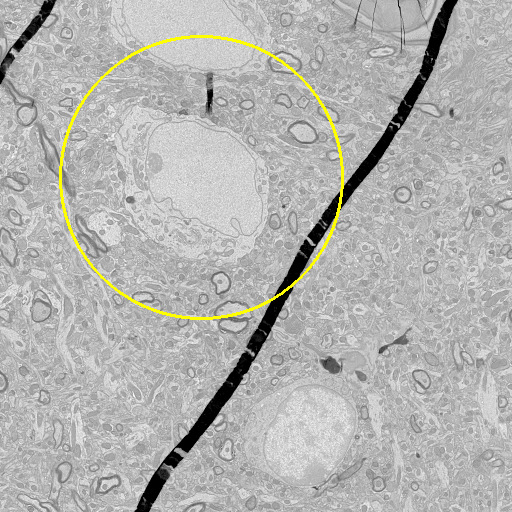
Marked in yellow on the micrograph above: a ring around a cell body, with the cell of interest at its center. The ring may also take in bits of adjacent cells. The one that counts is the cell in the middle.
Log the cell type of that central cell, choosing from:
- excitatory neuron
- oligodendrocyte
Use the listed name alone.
excitatory neuron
